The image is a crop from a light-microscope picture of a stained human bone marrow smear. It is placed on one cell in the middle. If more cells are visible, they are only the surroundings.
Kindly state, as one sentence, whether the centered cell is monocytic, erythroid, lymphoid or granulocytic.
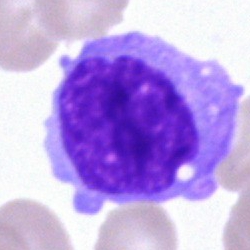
The cell of interest in the center belongs to the monocytic lineage.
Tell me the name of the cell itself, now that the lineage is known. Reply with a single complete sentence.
Regarding the central cell, it is a monocyte.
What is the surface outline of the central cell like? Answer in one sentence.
No smooth contour is present; the border is ragged or extended into projections.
